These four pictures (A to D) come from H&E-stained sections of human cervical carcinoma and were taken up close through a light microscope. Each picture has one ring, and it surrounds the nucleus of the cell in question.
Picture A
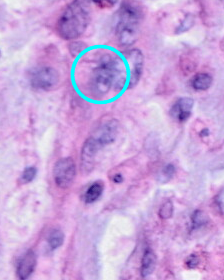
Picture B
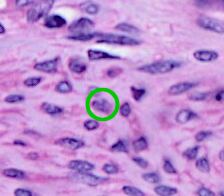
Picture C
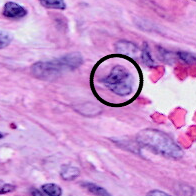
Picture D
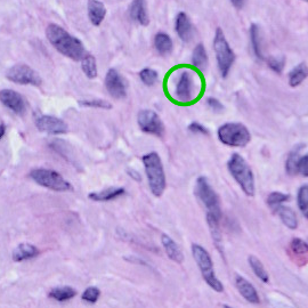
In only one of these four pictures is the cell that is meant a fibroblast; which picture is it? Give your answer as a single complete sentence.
Picture D is the one that shows the fibroblast.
